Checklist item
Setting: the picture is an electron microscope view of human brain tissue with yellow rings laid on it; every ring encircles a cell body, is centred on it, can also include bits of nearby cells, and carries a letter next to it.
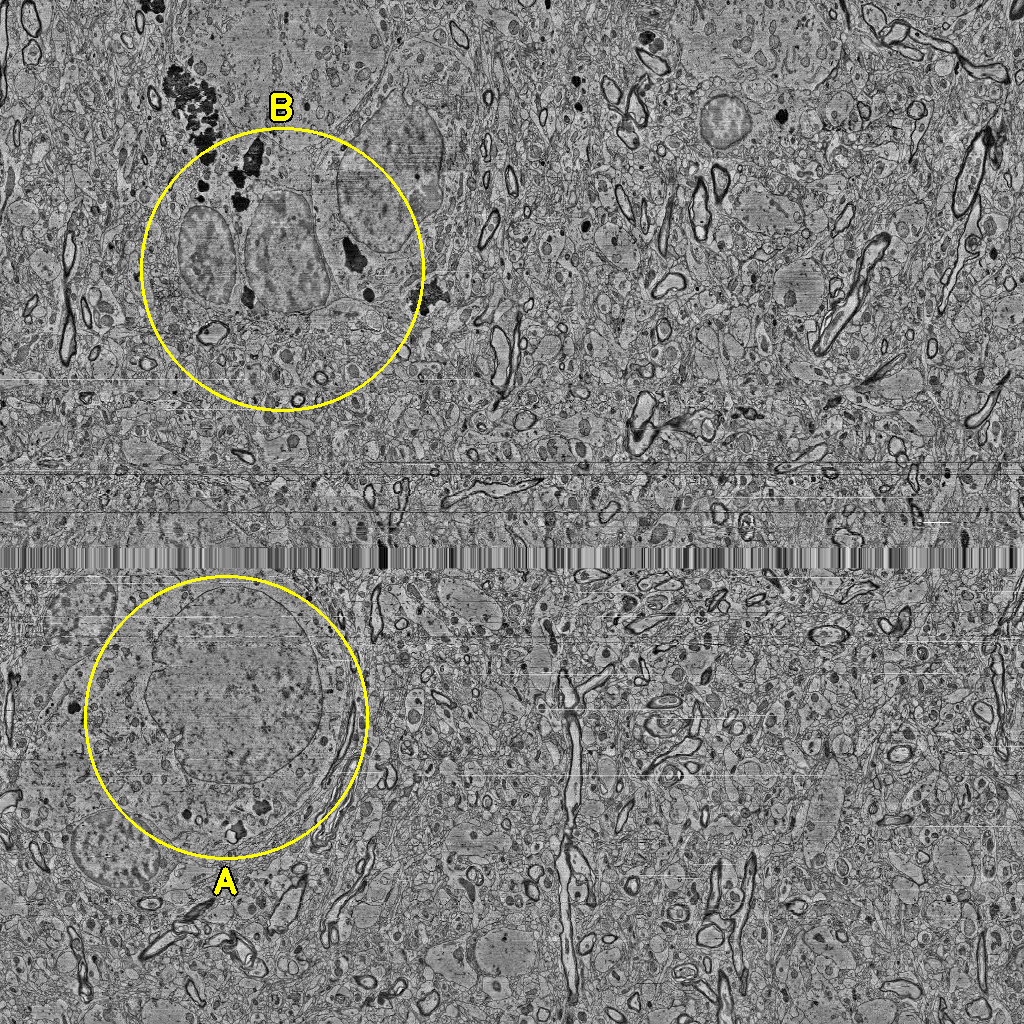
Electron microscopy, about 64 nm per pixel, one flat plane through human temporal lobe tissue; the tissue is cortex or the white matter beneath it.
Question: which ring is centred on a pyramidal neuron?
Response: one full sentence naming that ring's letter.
My response is that ring A has the sought cell at its centre.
